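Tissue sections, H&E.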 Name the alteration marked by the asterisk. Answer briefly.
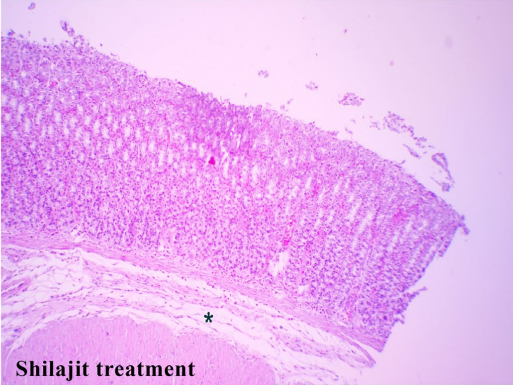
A: submucosal edema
